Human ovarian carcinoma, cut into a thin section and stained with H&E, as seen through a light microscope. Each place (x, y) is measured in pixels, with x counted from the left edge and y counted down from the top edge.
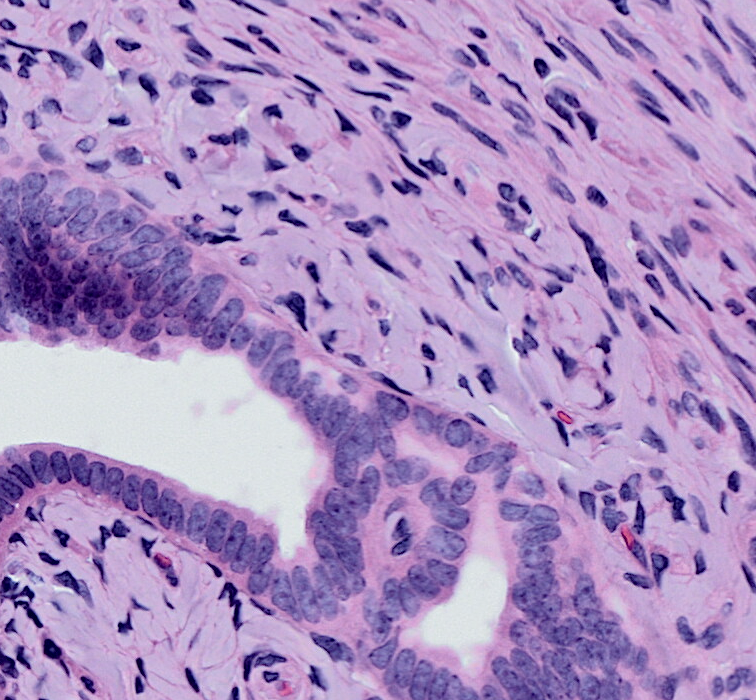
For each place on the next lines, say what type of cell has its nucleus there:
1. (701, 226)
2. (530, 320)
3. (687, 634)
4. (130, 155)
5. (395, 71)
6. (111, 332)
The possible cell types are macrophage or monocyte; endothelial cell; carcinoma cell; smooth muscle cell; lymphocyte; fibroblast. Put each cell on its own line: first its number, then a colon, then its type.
1: smooth muscle cell
2: smooth muscle cell
3: smooth muscle cell
4: endothelial cell
5: smooth muscle cell
6: carcinoma cell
